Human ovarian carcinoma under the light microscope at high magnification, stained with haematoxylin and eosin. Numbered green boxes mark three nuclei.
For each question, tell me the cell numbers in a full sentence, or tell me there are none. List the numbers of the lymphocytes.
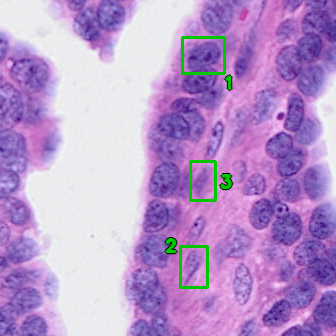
The numbered cells include no lymphocytes at all.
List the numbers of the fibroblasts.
The cells the numbers 2 and 3 point to are fibroblasts.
